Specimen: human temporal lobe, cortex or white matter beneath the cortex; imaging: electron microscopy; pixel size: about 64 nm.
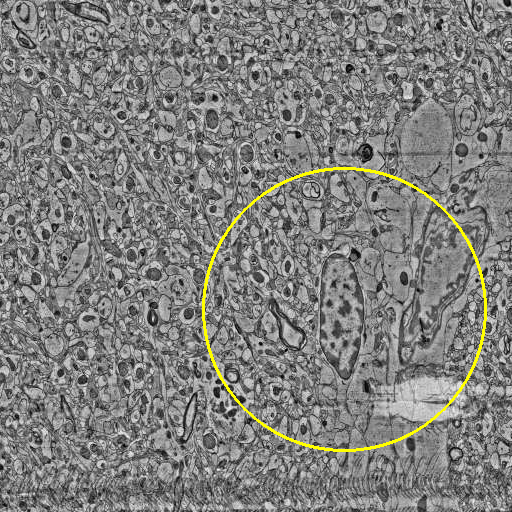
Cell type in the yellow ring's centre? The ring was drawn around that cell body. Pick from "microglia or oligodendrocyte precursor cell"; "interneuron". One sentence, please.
The ringed cell body is that of a microglial cell or oligodendrocyte precursor cell.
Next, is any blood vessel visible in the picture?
Yes, one shows.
